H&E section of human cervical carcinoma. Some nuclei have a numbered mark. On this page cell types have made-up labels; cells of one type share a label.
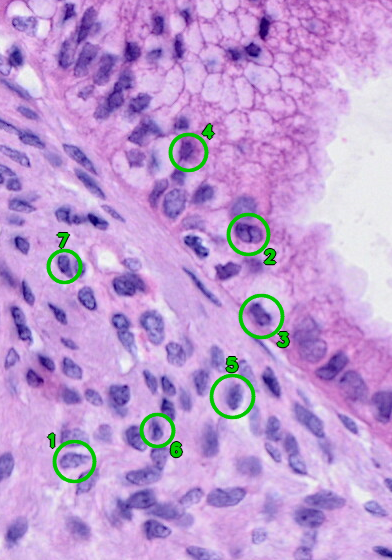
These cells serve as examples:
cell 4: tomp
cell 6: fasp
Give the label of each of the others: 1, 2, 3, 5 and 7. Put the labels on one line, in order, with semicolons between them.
fasp; tomp; tomp; fasp; fasp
